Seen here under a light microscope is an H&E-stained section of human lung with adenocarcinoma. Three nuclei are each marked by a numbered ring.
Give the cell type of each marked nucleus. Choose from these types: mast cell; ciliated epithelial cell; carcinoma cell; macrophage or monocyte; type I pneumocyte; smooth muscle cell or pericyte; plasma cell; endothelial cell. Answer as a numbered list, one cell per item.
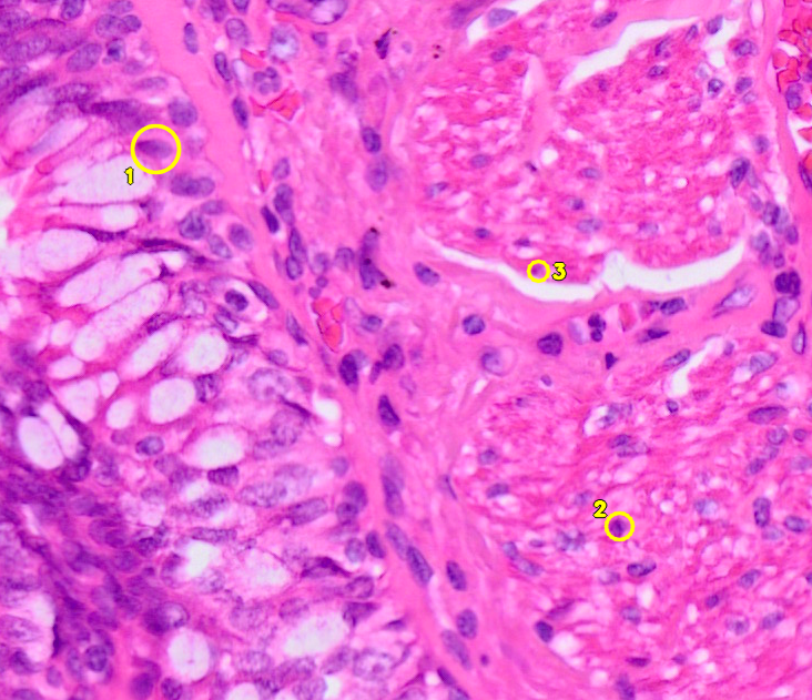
1. ciliated epithelial cell
2. smooth muscle cell or pericyte
3. smooth muscle cell or pericyte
